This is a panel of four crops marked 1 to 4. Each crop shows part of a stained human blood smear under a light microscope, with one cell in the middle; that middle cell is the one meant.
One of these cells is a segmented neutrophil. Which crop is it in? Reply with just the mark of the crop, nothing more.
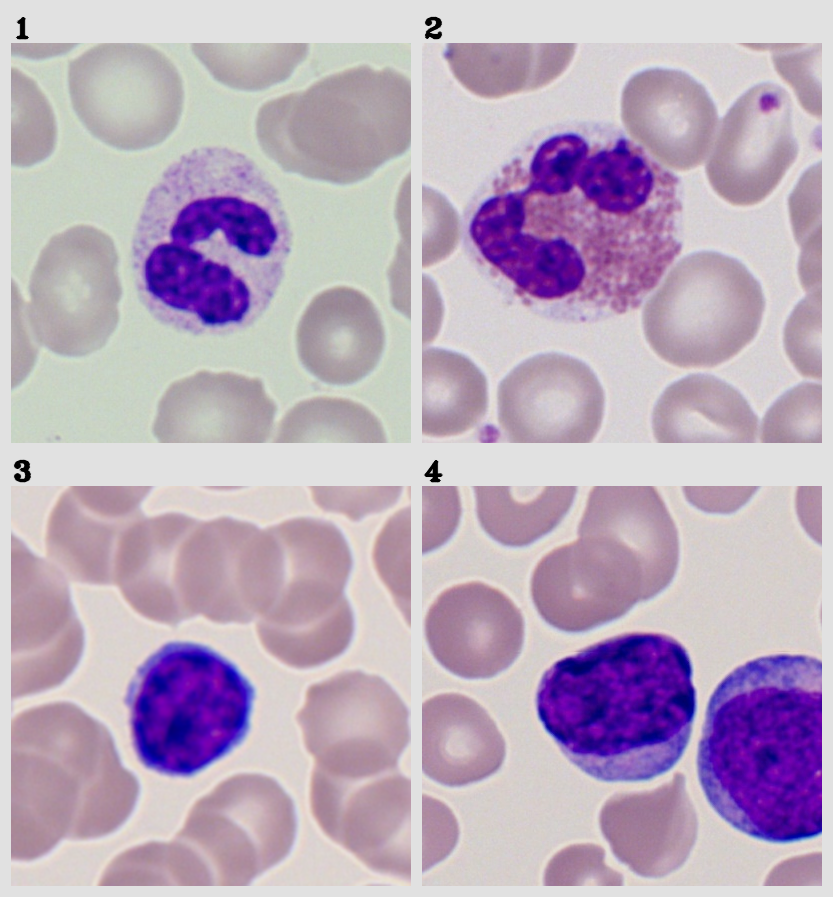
1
